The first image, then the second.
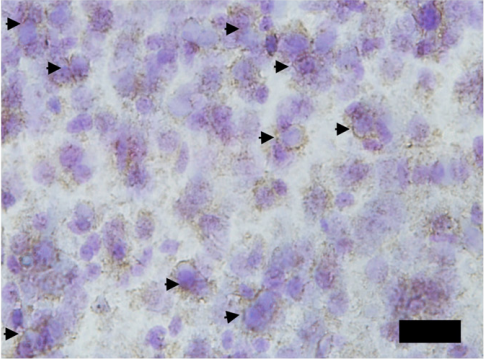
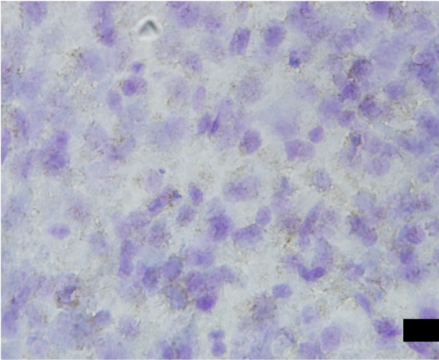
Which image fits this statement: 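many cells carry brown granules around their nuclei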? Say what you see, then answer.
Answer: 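First image: brown granular deposits ring many of the blue-stained cells. Second image: the blue-stained cells show only faint, sparse brown dots.
Hence: the first image.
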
